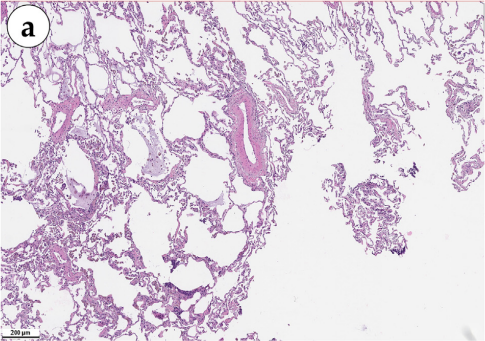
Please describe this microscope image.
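Normal lung shows a lacy network of thin-walled alveoli, their walls a thin pink-purple line of flattened cells around large empty airspaces. Near the centre a medium-calibre artery stands out with a thick pink muscular wall and a clearly visible narrow lumen. Some airspaces hold a little pale material.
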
